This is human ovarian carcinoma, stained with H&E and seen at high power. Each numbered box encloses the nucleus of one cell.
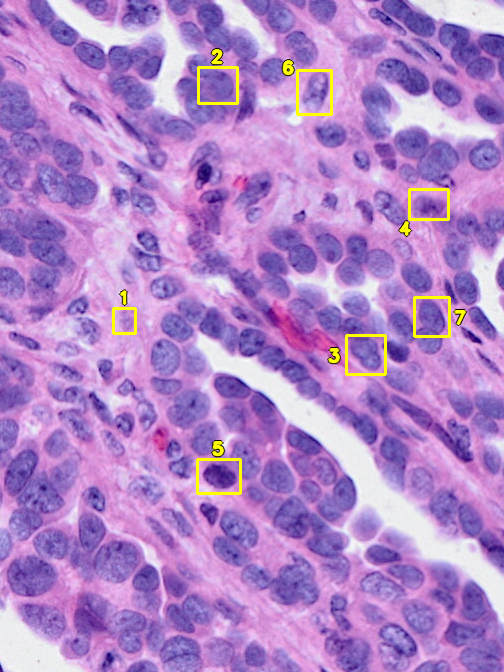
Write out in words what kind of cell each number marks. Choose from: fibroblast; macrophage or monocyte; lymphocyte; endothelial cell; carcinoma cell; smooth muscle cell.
Cell 1 is a fibroblast, cell 2 is a carcinoma cell, cell 3 is a carcinoma cell, cell 4 is a fibroblast, cell 5 is a carcinoma cell, cell 6 is a fibroblast and cell 7 is a carcinoma cell.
